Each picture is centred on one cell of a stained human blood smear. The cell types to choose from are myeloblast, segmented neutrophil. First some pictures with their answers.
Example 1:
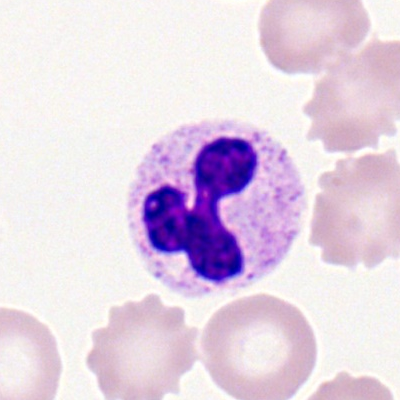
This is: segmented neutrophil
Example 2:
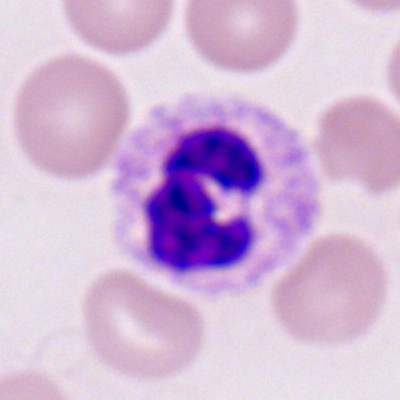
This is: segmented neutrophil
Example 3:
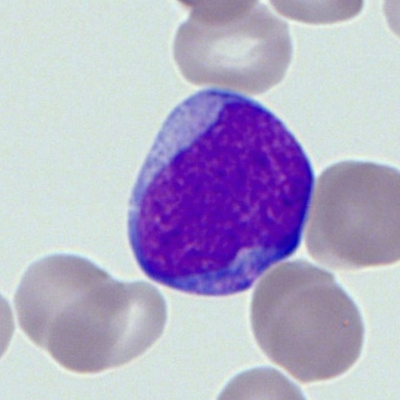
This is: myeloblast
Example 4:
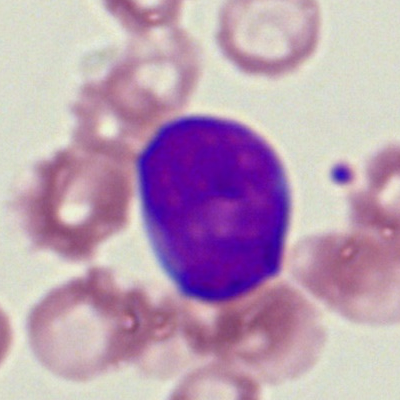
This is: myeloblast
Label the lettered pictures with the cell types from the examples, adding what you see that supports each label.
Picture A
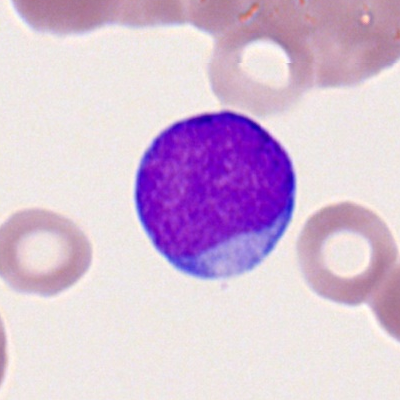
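Label: myeloblast. The cytoplasm is scant, seen mainly as a crescent at the lower right of the cell.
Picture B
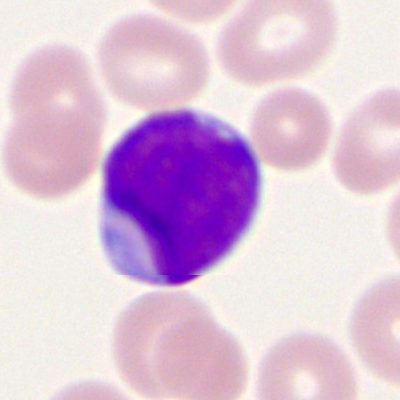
Label: myeloblast. The nucleus fills most of the cell.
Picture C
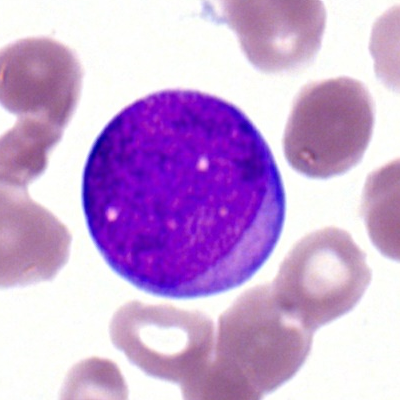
Label: myeloblast. A thin crescent of cytoplasm shows mainly at the lower right of the cell.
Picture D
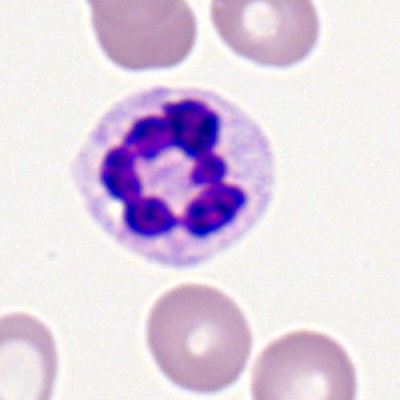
Label: segmented neutrophil. The cytoplasm is plentiful and pale pinkish-lilac.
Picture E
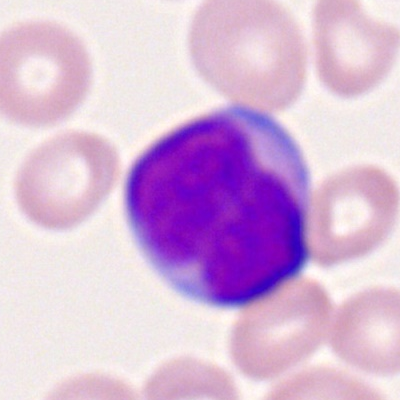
Label: myeloblast. The nucleus fills most of the cell.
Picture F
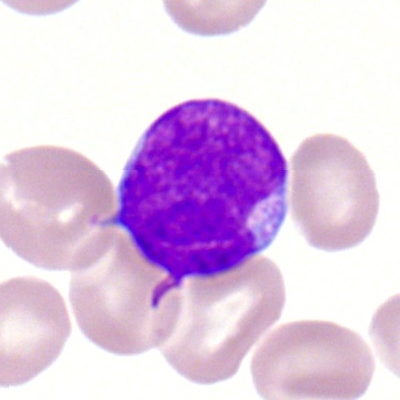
Label: myeloblast. The cytoplasm forms only a scant rim around the nucleus.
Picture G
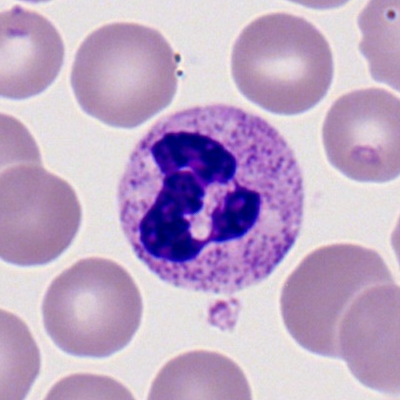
Label: segmented neutrophil. The cytoplasm is abundant and pale pinkish-lilac.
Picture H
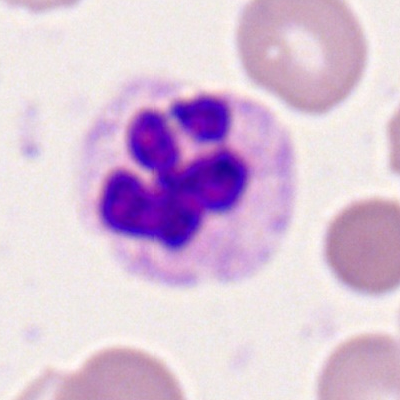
Label: segmented neutrophil. The nucleus is divided into several separate lobes.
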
